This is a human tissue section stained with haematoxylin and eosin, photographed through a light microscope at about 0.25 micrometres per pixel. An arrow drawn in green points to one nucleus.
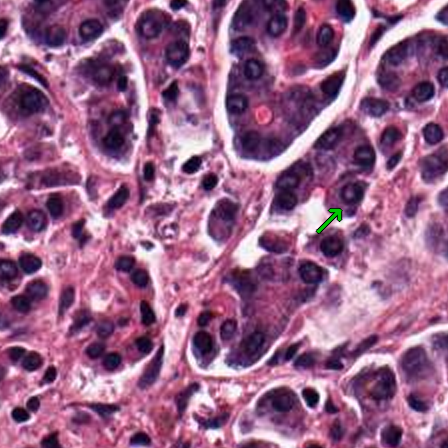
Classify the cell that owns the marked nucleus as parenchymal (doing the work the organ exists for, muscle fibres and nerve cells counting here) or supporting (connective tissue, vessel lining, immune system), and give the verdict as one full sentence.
To a parenchymal cell, namely a pancreatic acinar cell, belongs the marked nucleus.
